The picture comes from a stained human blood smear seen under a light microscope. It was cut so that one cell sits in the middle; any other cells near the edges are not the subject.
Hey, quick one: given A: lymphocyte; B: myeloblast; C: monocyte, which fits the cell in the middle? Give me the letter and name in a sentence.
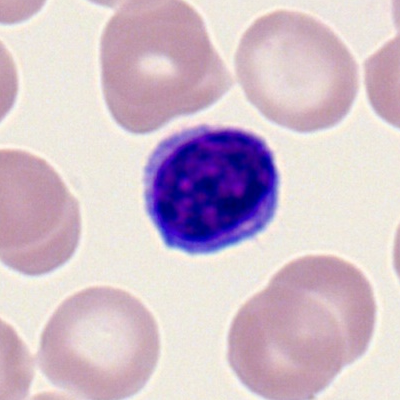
The correct identification, given in option A, is that the central cell is a lymphocyte.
